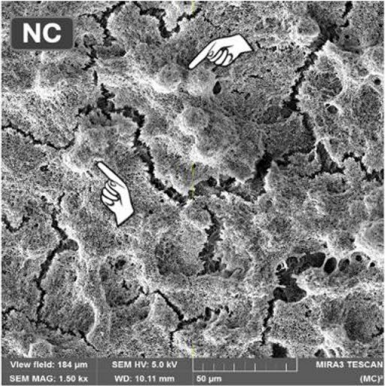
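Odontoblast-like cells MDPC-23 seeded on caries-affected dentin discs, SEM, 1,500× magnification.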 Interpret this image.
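The cells are flattened and spread, with large, flat cytoplasm merging into a confluent sheet. Their margins bear numerous fine cytoplasmic extensions that give the surface a rough, textured look. Narrow dark cracks run irregularly through the layer, but the underlying substrate is otherwise hidden. Several small, rounded, raised cell bodies sit on top of the flat layer, consistent with cells undergoing mitosis.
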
